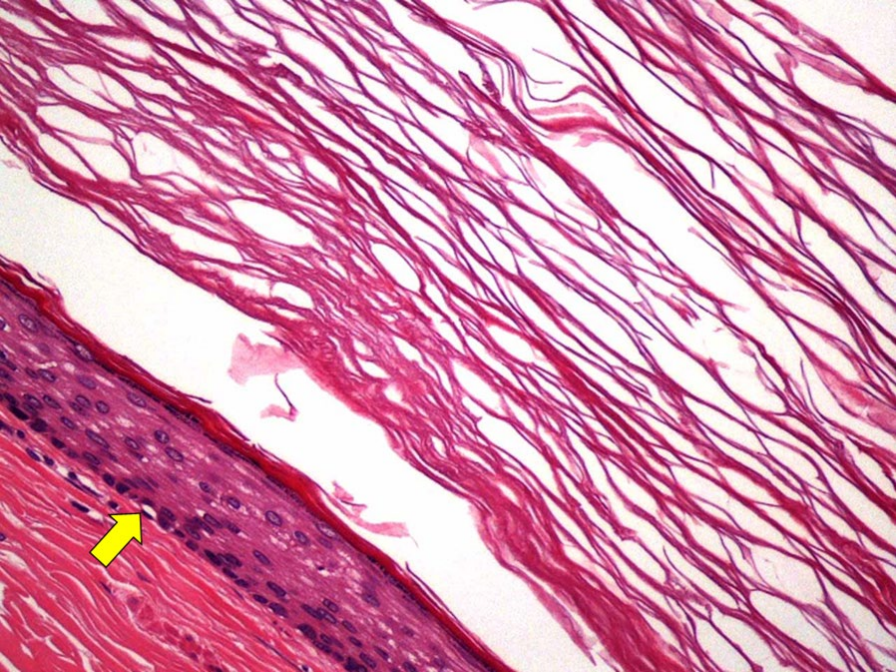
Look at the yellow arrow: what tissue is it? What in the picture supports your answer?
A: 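A band several cells thick, with basal cells with dark nuclei at the bottom and larger cells above. The cells become flatter toward the free surface. A dense, bright pink layer without nuclei covers the surface. Wavy, loose pink lamellae without nuclei fill the space beyond the epithelium.
Answer: keratinized stratified squamous epithelium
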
